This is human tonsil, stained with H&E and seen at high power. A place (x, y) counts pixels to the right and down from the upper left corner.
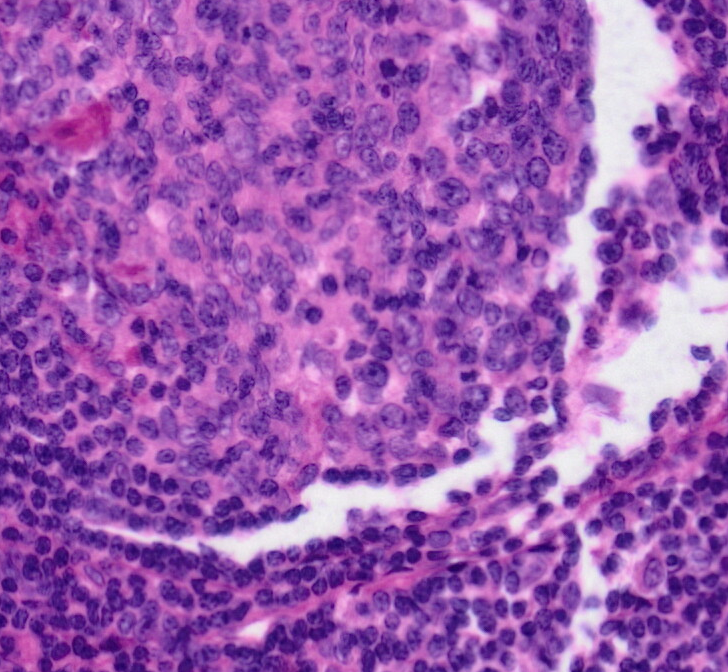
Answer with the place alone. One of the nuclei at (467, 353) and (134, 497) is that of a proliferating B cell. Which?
(467, 353)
